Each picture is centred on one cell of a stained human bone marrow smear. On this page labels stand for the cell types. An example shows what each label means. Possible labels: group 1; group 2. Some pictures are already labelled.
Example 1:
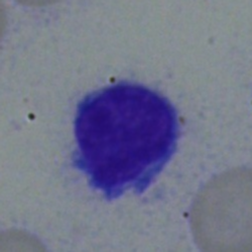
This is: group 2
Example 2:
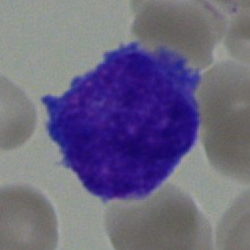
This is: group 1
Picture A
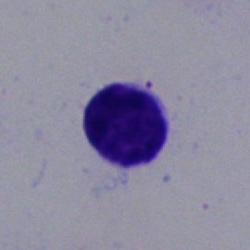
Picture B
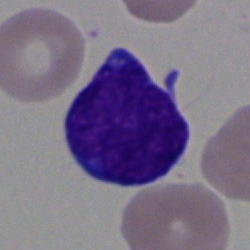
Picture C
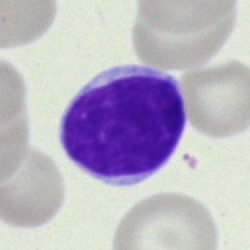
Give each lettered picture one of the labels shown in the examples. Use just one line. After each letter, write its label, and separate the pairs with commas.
A group 2, B group 1, C group 2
